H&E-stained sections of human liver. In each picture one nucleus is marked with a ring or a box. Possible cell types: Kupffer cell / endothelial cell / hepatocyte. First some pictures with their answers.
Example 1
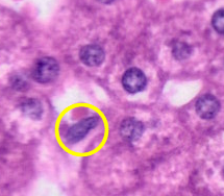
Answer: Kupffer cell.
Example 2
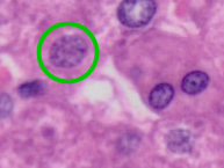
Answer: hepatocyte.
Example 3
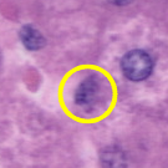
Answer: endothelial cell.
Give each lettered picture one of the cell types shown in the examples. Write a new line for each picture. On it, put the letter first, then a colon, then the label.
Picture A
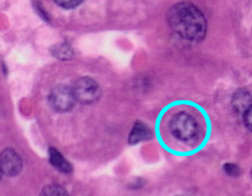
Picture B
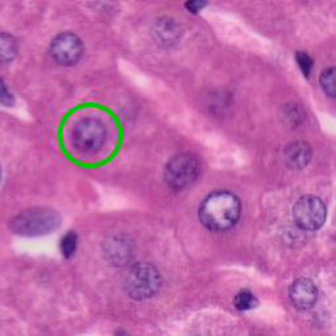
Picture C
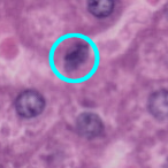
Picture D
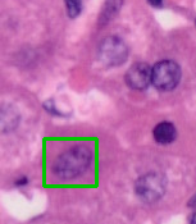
A: hepatocyte.
B: hepatocyte.
C: endothelial cell.
D: hepatocyte.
